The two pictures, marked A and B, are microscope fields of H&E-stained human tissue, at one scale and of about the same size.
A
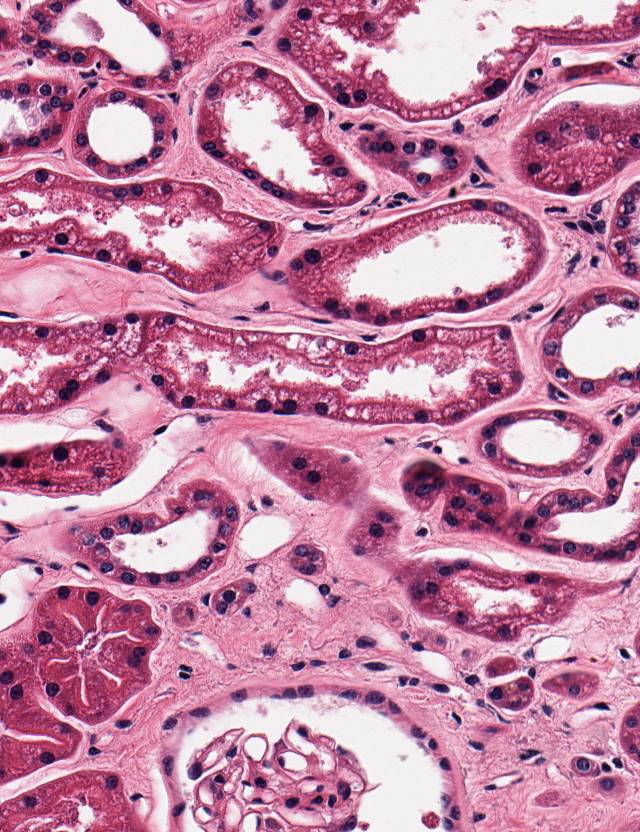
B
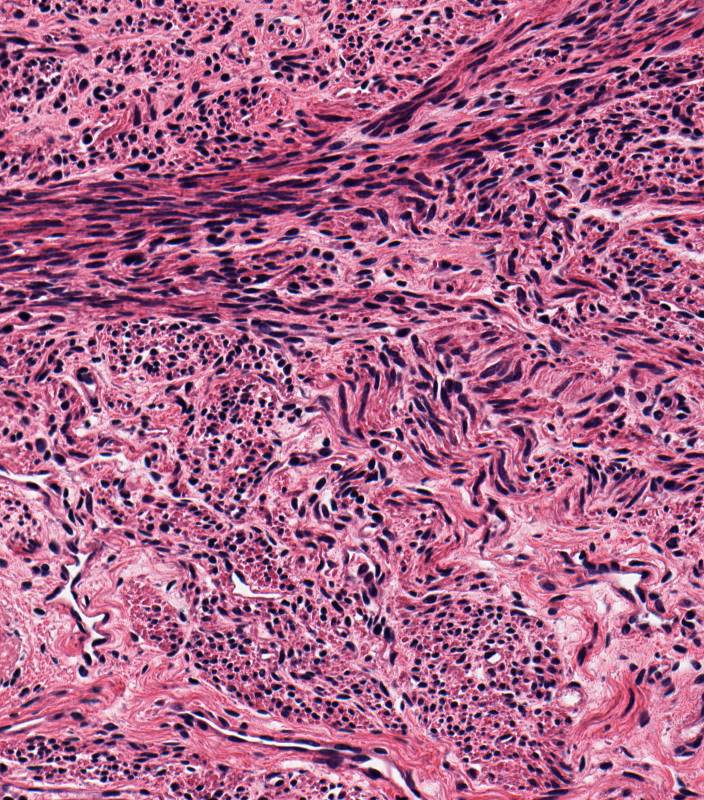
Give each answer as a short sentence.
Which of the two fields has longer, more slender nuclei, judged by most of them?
On the whole the nuclei of field B are more drawn out than those of field A.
